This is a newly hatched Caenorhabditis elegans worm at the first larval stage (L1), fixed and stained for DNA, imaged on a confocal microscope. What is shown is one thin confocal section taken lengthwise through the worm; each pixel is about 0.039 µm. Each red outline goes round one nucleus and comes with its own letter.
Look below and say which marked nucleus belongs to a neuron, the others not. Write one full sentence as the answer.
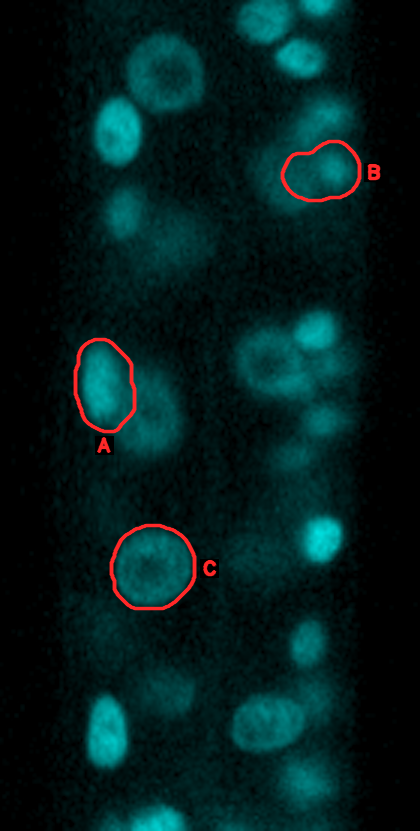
Of the marked nuclei, B is the one in a neuron.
